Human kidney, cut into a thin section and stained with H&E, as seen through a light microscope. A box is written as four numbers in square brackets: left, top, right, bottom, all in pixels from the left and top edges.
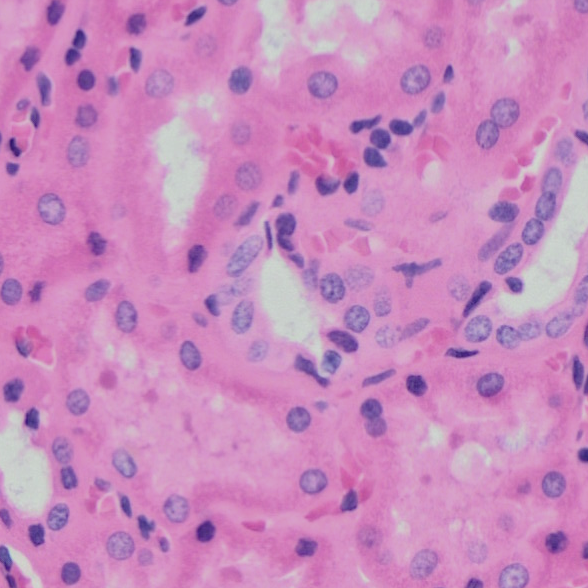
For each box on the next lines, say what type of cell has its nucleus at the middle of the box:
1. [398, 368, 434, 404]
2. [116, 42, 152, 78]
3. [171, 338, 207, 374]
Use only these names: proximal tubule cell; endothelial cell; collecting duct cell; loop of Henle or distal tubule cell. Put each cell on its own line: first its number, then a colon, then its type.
1: proximal tubule cell
2: endothelial cell
3: proximal tubule cell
